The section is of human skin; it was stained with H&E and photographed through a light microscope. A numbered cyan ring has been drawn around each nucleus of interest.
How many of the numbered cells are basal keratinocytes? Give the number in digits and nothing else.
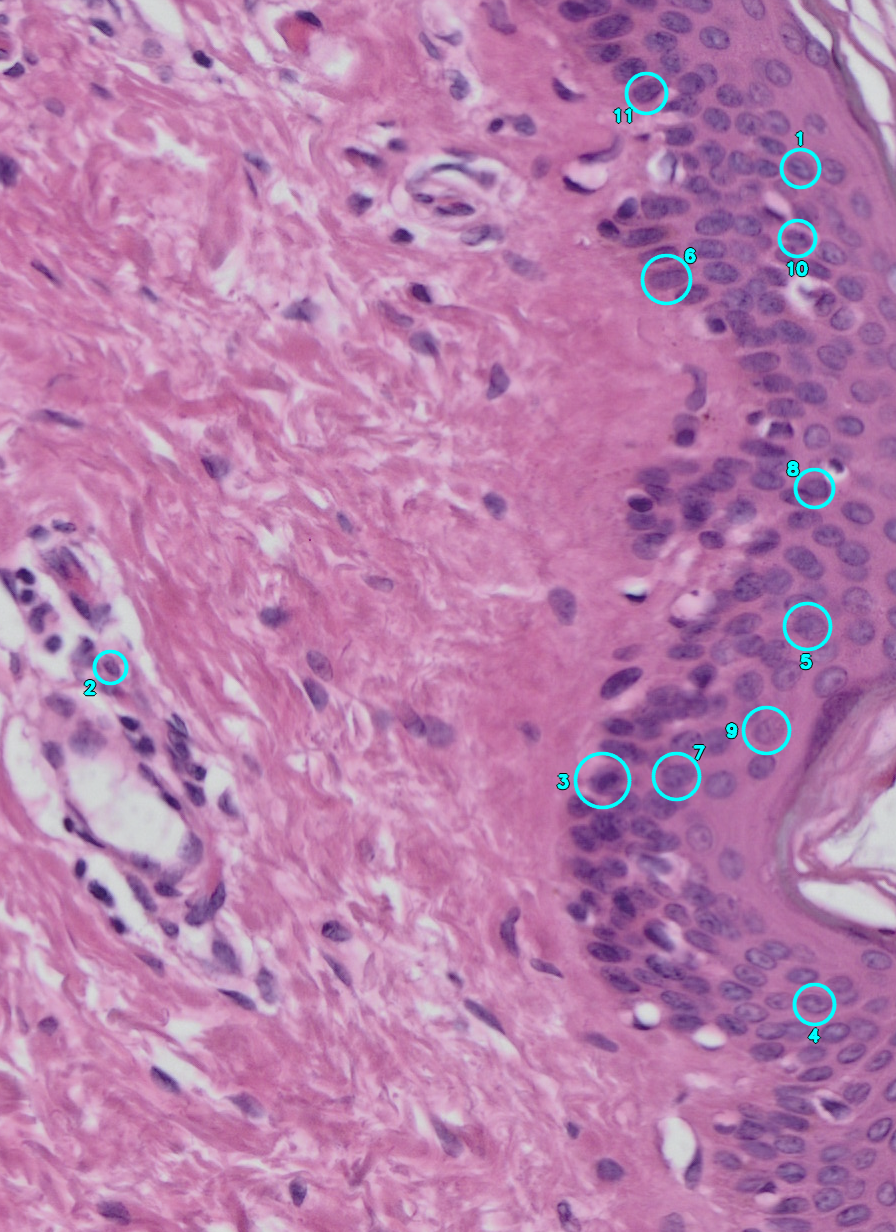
5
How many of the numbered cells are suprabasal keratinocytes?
5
